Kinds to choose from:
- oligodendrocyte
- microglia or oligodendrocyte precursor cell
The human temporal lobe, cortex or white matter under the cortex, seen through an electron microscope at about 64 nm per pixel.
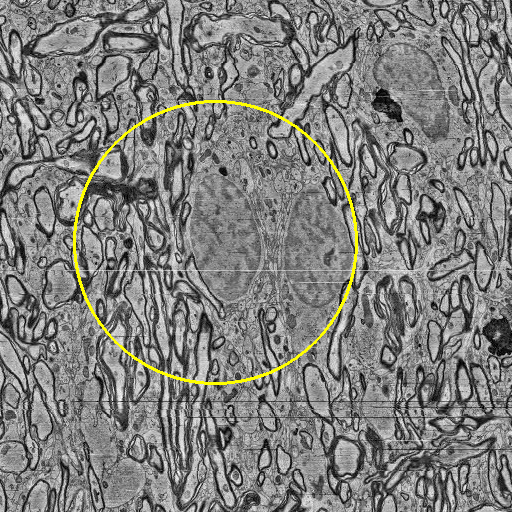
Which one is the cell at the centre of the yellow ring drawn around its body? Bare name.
oligodendrocyte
